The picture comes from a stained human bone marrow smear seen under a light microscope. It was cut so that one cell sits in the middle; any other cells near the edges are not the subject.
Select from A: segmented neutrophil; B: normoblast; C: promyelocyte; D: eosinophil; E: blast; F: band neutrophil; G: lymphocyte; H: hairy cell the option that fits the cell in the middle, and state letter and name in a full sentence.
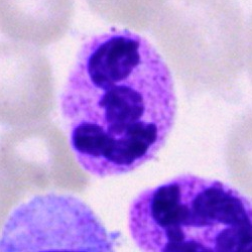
It is a segmented neutrophil that occupies the centre of the crop, so option A is correct.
